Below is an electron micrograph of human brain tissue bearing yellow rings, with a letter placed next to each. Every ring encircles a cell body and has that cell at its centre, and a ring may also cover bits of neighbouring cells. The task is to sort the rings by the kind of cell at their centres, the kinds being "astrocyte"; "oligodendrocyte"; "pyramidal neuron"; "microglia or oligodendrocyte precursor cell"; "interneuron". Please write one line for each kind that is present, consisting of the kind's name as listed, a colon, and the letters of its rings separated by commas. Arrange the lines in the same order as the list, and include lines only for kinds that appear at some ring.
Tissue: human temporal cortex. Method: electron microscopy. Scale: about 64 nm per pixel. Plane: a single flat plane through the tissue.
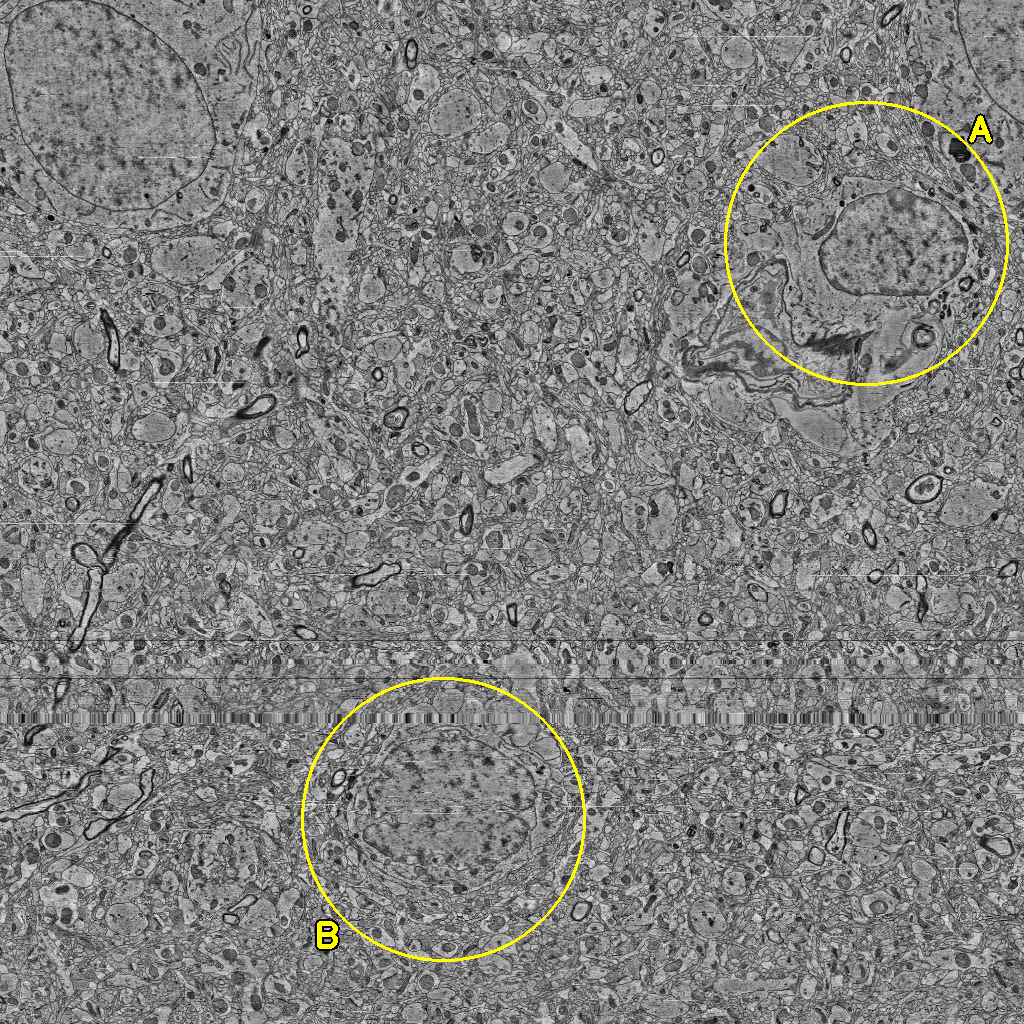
microglia or oligodendrocyte precursor cell: A
interneuron: B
